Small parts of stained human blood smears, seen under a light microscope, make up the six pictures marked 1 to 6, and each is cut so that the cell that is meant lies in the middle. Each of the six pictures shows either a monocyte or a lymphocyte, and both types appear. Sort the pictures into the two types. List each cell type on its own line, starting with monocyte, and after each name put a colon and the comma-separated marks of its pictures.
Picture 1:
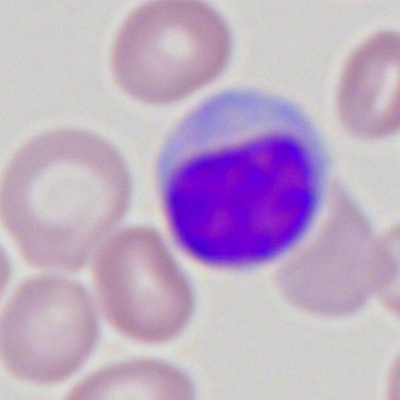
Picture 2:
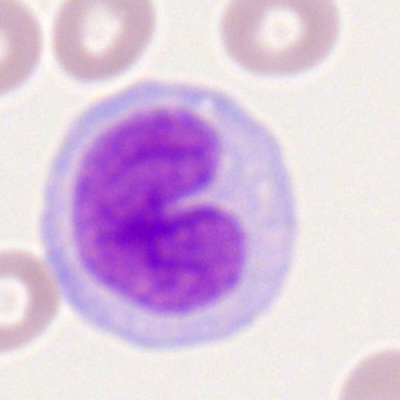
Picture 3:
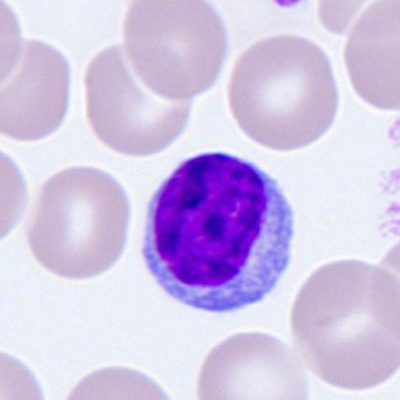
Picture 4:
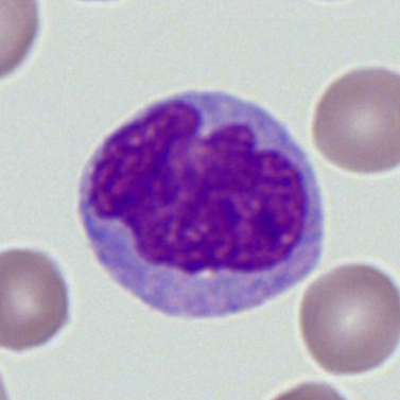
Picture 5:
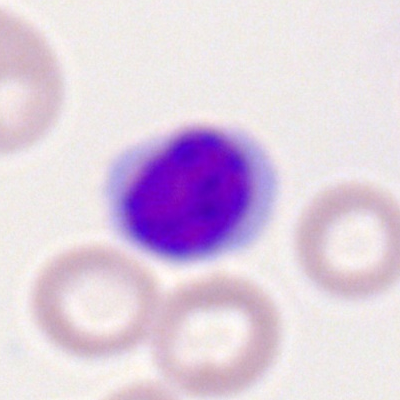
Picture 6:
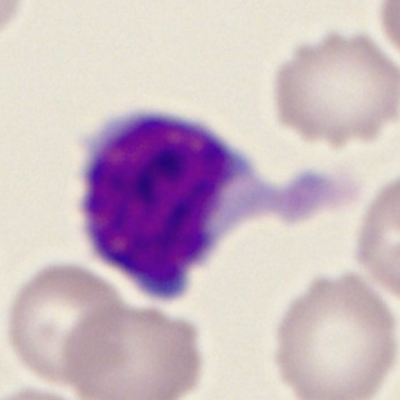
monocyte: 2, 4
lymphocyte: 1, 3, 5, 6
